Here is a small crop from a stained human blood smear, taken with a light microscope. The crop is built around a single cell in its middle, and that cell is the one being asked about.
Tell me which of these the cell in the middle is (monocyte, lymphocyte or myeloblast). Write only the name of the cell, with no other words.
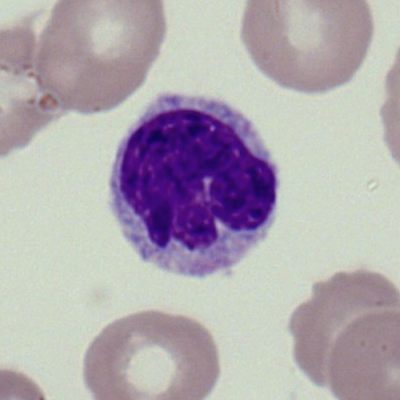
monocyte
